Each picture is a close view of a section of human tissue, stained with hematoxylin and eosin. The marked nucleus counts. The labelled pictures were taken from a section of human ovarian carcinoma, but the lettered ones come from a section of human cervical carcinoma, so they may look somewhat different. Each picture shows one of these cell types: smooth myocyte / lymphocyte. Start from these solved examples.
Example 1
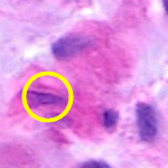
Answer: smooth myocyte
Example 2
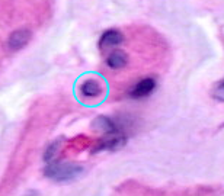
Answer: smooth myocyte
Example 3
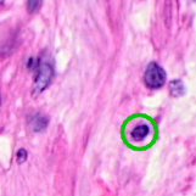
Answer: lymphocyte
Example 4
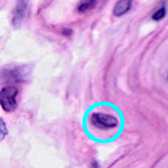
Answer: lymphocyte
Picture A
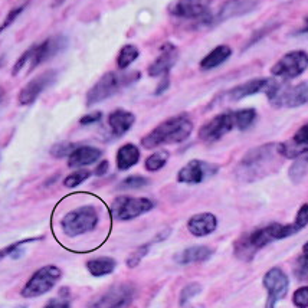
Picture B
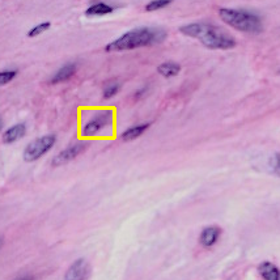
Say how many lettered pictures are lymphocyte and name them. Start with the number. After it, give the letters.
1, namely A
